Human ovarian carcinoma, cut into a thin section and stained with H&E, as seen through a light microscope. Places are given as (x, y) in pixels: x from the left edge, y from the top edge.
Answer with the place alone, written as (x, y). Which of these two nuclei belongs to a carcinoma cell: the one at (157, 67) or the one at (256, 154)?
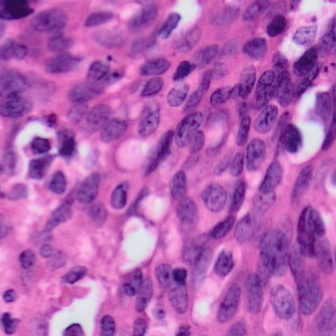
(157, 67)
